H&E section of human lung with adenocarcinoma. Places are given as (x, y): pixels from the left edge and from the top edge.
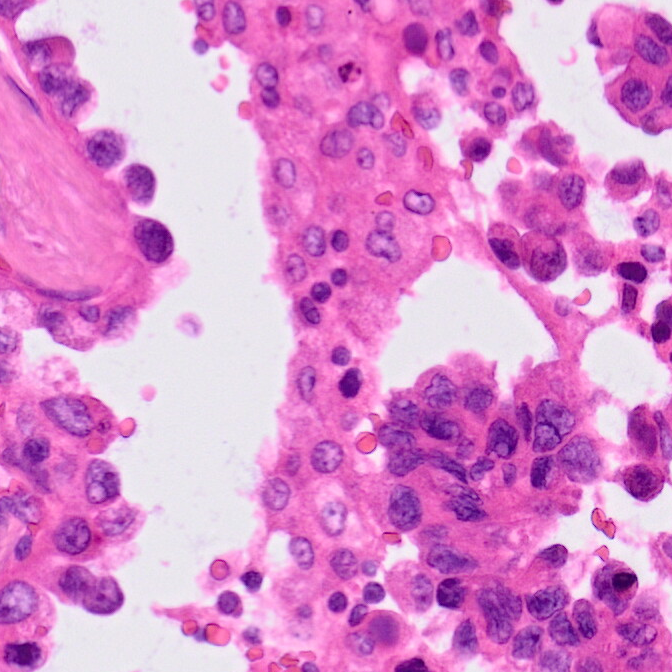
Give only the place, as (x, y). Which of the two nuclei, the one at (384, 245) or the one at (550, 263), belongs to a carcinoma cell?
(550, 263)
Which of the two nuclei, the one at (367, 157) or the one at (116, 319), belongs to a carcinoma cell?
(116, 319)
